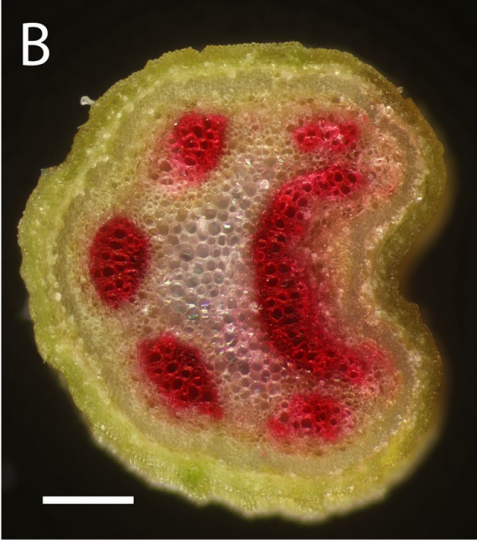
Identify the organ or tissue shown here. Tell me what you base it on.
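A roughly round transverse section with an outer green band, a ring of vascular bundles and a central pale tissue. On this evidence: Petioles.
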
